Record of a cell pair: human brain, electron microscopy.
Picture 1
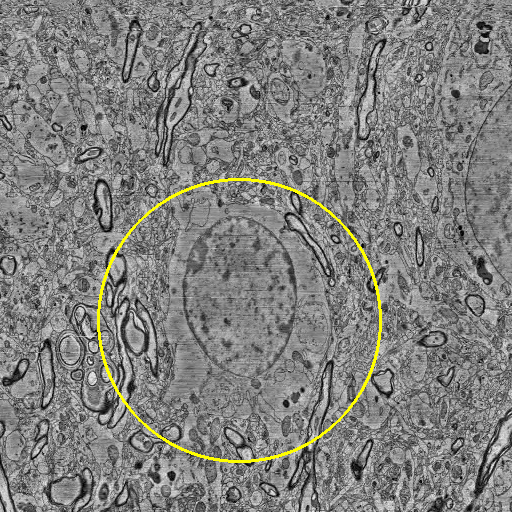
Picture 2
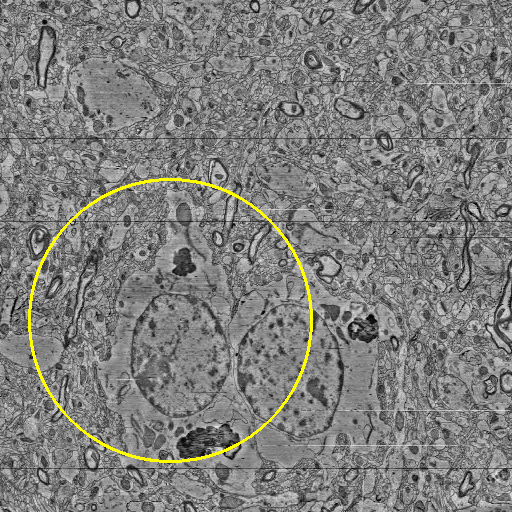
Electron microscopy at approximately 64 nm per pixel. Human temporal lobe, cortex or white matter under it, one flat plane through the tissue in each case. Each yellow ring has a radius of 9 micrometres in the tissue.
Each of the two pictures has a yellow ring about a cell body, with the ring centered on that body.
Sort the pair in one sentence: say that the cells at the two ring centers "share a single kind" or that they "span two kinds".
The cells centered in the rings of Pictures 1 and 2 share a single kind.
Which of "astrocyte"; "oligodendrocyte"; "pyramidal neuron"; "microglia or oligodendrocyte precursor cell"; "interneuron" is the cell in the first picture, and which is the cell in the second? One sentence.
The cell in the first picture is an astrocyte, and so is the one in the second.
